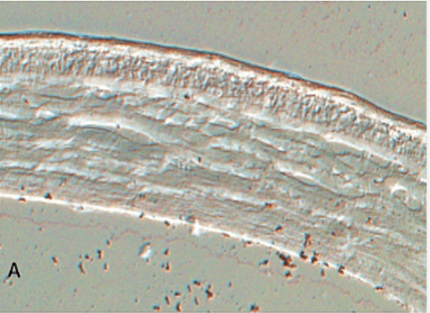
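A curved section of cornea is shown in relief. Along the outer convex surface runs a band of finely granular, cellular epithelium, and beneath it lies a thicker stroma of parallel, wavy lamellae that extends to the inner surface.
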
